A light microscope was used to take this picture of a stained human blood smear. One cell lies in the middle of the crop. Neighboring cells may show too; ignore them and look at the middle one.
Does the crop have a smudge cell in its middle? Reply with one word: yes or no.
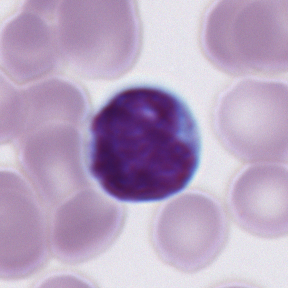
no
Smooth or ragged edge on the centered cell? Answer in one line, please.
Nothing juts out from the margin, which is smooth throughout.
